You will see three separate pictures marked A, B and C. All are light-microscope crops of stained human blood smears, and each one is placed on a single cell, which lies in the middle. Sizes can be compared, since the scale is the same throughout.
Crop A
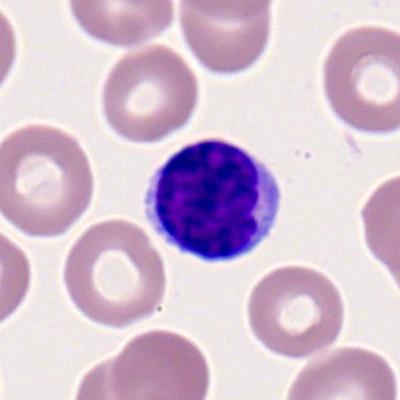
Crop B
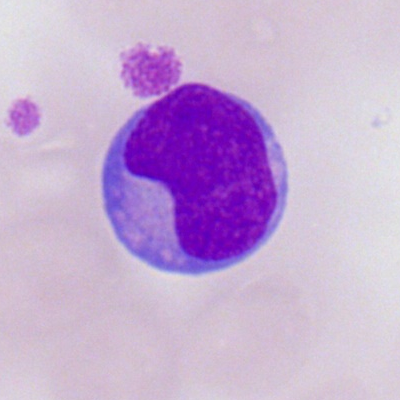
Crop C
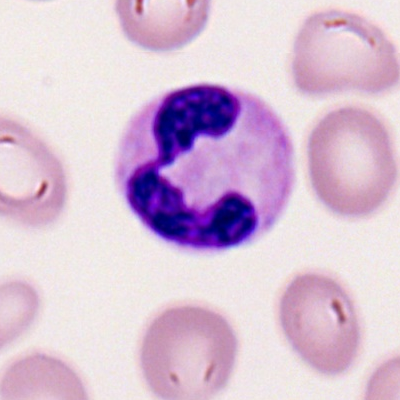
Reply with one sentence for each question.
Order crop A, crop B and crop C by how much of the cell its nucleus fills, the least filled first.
The least filled comes first: C, B, A.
